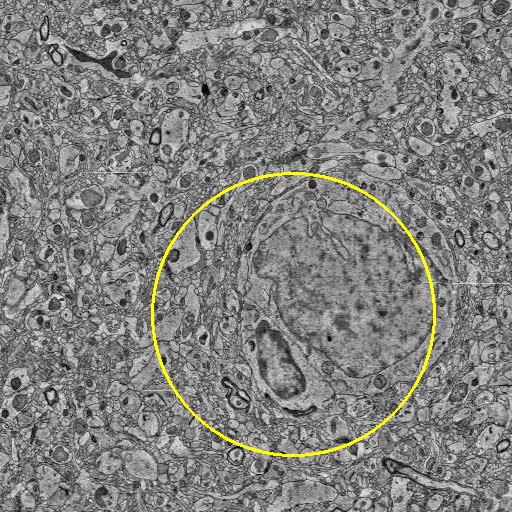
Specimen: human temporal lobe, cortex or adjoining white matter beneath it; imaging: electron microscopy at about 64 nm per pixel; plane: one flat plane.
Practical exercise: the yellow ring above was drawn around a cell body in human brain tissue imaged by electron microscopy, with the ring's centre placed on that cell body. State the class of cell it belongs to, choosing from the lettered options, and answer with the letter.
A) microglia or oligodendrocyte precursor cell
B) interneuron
B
